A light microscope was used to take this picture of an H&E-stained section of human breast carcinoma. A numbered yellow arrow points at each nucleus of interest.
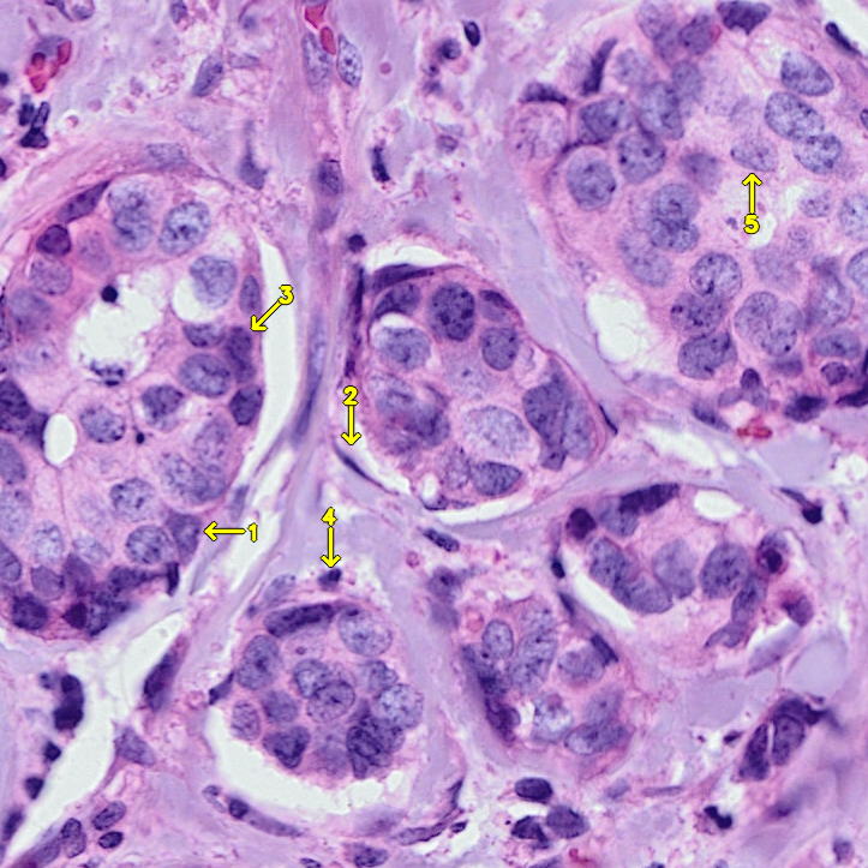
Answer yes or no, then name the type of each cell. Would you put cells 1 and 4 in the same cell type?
No, in this section cell 1 is a carcinoma cell and cell 4 is a lymphocyte.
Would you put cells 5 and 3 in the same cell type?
Yes, cell 5 is counted among the carcinoma cells, as is cell 3.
